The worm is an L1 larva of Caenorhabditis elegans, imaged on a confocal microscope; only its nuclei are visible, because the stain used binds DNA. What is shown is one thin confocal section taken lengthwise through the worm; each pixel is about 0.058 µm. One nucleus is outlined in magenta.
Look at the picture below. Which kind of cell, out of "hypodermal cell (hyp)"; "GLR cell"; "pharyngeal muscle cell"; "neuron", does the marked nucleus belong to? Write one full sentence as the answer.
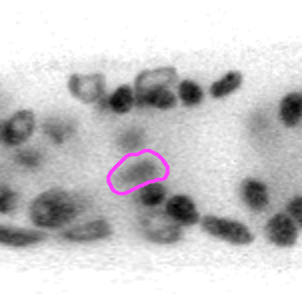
It is the nucleus of a neuron.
